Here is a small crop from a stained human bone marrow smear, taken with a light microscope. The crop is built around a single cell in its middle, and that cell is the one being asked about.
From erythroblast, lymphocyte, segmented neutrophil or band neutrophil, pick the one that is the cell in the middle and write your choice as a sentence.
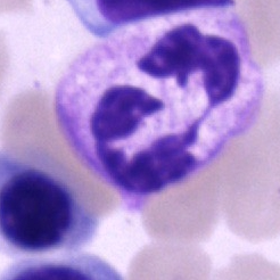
The cell nearest the centre of this crop is a segmented neutrophil.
